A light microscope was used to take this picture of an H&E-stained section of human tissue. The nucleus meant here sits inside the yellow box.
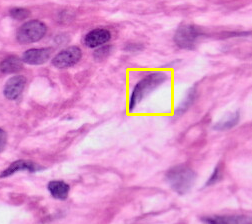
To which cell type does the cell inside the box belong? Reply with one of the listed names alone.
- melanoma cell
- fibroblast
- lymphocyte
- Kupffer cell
fibroblast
